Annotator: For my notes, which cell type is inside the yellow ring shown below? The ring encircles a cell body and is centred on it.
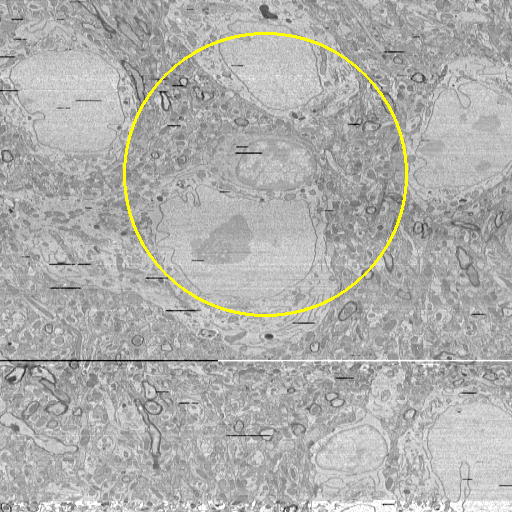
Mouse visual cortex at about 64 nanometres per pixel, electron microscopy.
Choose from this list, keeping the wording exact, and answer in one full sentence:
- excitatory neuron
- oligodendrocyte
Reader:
At the centre of the yellow ring there is an oligodendrocyte, as shown in the picture.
